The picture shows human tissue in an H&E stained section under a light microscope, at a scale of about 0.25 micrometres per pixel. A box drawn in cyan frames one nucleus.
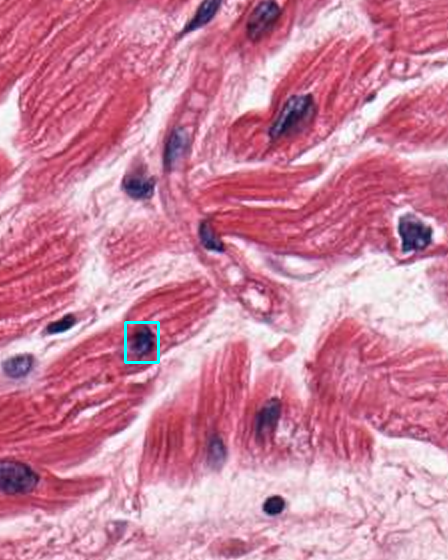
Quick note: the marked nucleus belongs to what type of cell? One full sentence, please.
To a cardiomyocyte belongs the marked nucleus.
